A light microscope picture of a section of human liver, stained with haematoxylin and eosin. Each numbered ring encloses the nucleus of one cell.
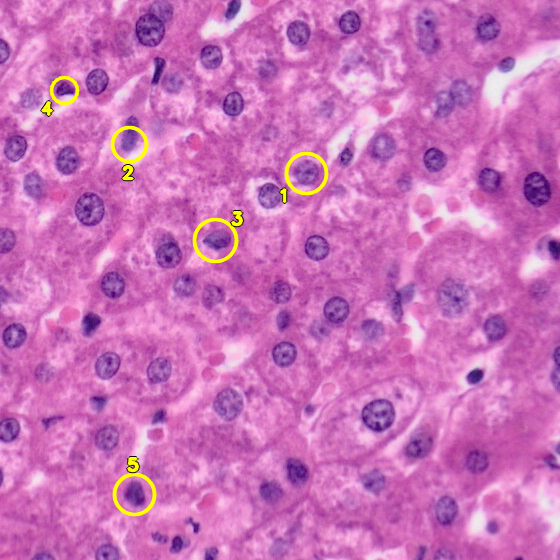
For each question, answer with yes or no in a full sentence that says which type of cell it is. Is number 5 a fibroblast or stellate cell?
Yes, in the section, number 5 is a fibroblast or stellate cell.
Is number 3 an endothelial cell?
Yes, the numbered cell 3 is identified as an endothelial cell.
